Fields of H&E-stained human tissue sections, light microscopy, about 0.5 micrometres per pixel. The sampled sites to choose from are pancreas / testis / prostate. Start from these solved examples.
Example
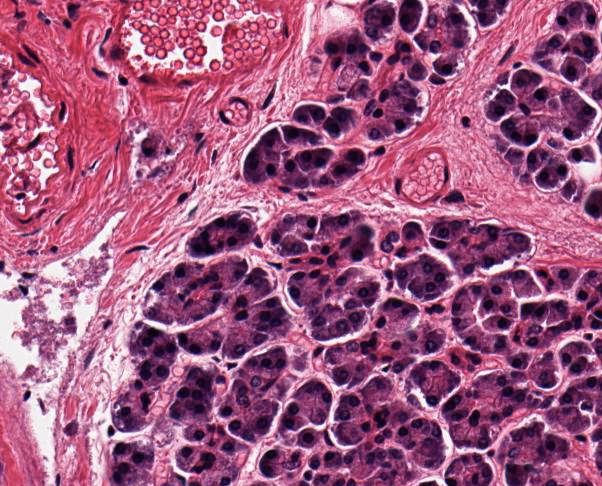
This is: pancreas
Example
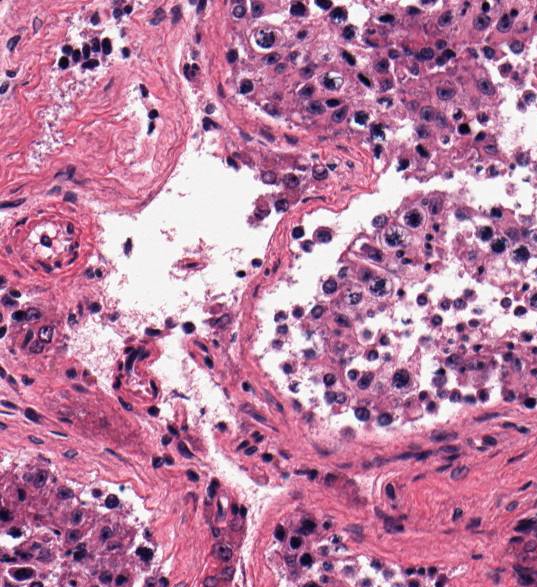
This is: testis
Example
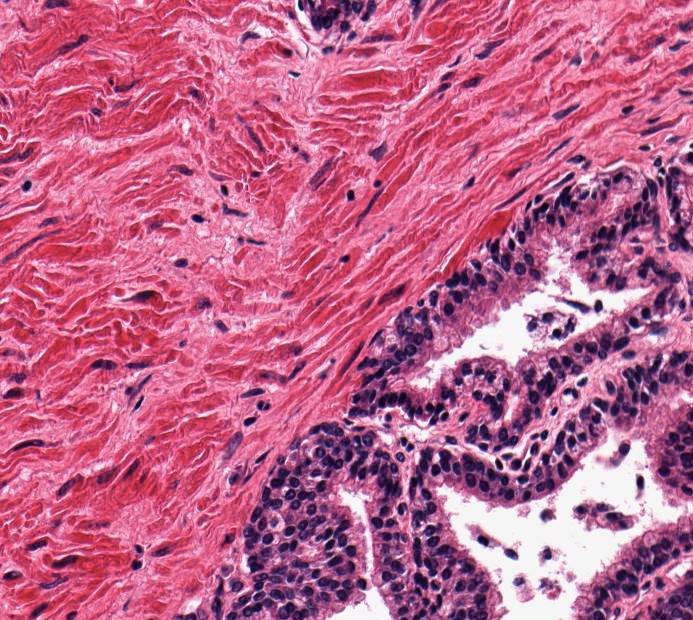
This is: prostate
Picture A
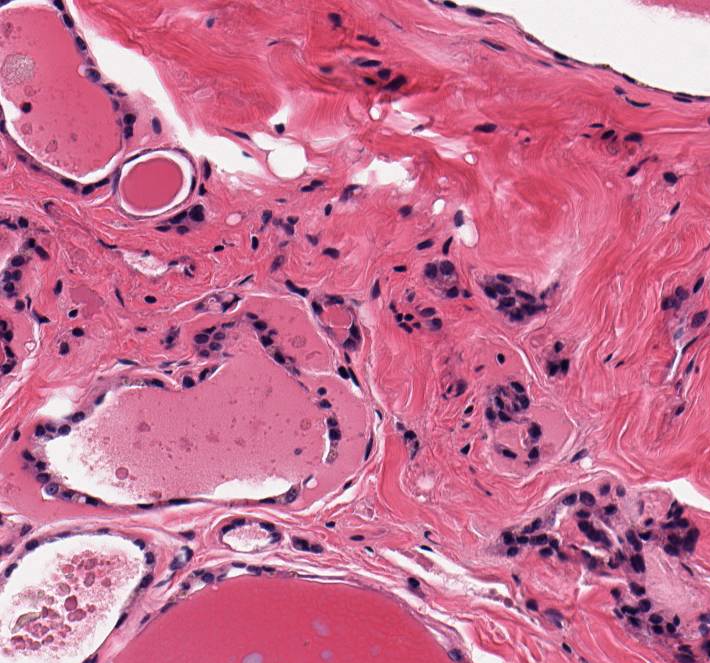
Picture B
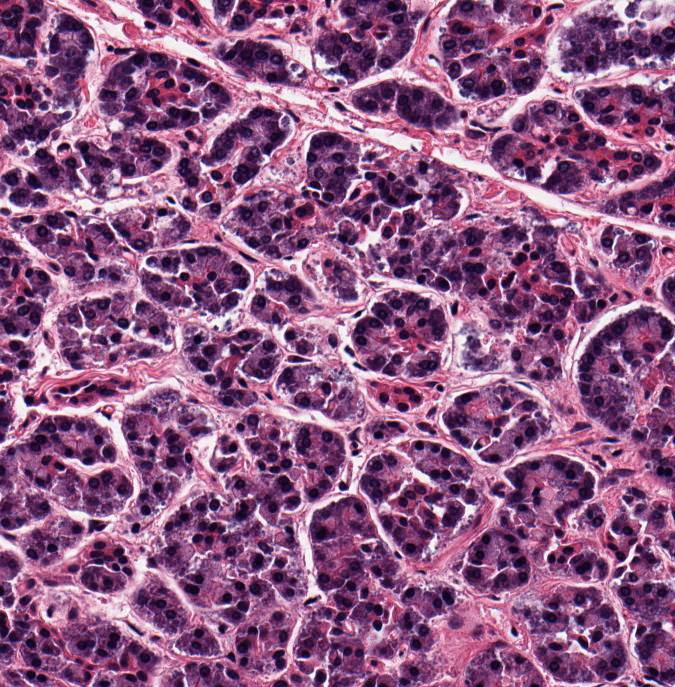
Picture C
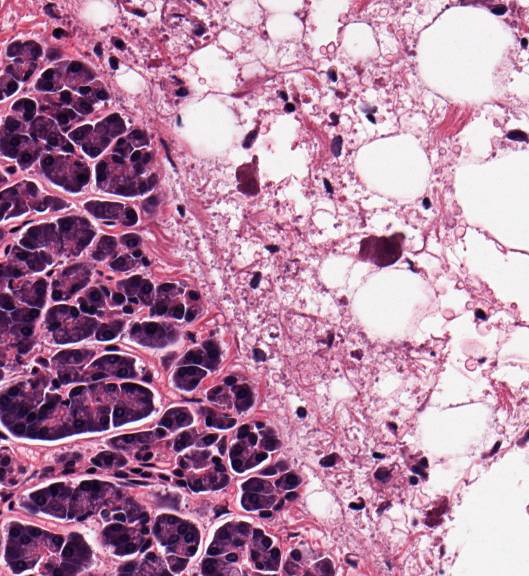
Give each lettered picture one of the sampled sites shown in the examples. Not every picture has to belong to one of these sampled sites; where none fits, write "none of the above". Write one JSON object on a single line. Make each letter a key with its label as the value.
{"A": "none of the above", "B": "pancreas", "C": "pancreas"}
